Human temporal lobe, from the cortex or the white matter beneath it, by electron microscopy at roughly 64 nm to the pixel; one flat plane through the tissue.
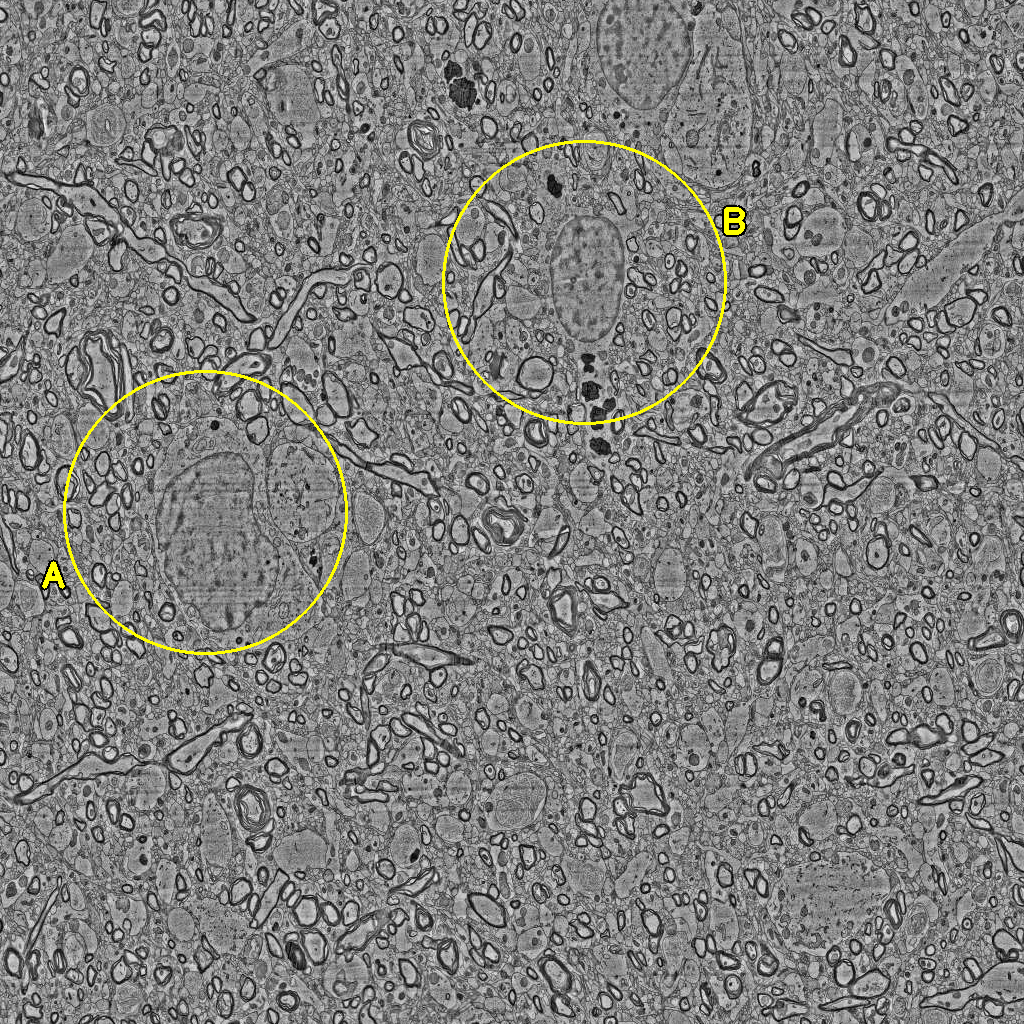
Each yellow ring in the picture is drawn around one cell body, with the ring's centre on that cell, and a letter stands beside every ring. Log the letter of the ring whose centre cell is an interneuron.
A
